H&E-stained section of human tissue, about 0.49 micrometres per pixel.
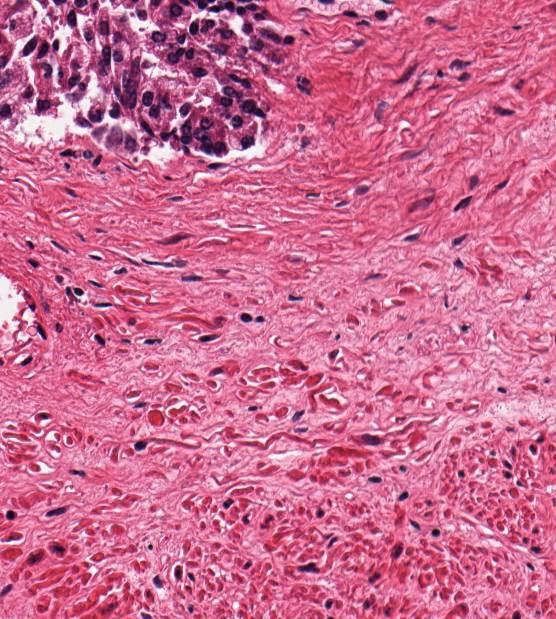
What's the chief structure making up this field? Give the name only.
fibromuscular stroma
